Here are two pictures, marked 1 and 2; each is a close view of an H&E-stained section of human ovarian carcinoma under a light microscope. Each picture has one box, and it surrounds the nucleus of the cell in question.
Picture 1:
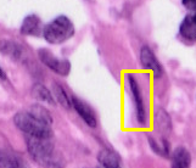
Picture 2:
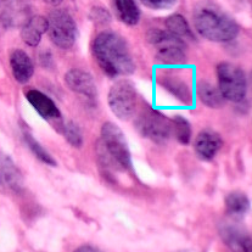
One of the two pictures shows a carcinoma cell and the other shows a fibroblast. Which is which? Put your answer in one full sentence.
Picture 1 shows a fibroblast and picture 2 shows a carcinoma cell.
